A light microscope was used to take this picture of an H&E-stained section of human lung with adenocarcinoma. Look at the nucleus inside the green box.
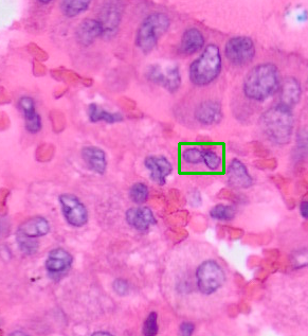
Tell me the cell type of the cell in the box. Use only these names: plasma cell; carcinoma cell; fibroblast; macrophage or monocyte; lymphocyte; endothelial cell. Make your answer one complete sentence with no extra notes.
In this tissue sample, the cell in the box is a macrophage or monocyte.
